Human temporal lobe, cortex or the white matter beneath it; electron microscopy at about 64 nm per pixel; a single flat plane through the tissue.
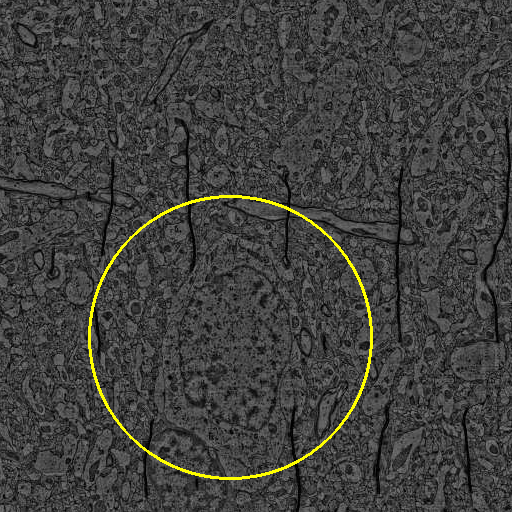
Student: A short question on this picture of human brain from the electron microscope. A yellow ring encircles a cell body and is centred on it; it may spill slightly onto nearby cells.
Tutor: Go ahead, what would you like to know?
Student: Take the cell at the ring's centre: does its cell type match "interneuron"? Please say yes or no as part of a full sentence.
Yes, in the picture, the cell at the ring's centre has that cell type.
